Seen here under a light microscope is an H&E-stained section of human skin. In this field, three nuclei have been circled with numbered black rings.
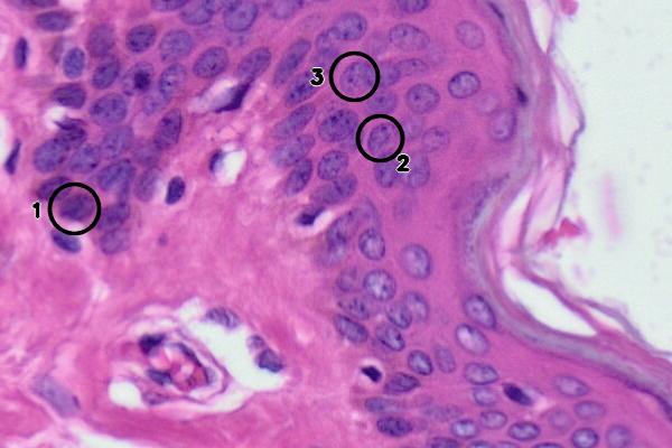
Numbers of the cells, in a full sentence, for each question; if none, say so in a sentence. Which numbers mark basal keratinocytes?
Cell 1 is a basal keratinocyte; every other numbered cell is something else.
